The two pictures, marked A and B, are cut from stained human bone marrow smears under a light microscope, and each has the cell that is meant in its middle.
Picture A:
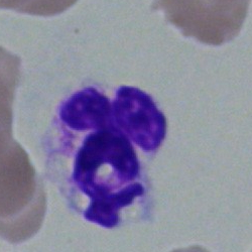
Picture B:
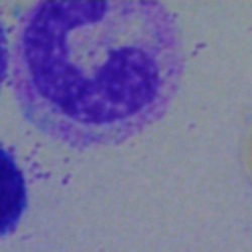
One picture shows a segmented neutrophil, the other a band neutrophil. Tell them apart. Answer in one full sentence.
The cell in picture A is a segmented neutrophil, and the one in picture B is a band neutrophil.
